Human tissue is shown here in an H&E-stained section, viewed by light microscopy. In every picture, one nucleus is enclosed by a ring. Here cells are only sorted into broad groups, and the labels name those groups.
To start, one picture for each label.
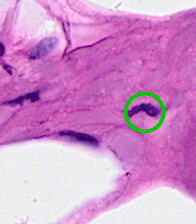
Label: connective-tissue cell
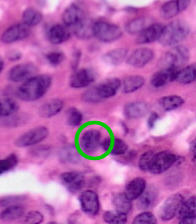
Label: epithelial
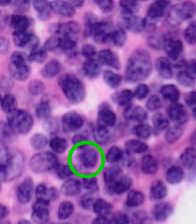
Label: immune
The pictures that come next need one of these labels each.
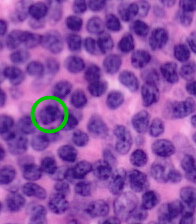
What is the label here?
immune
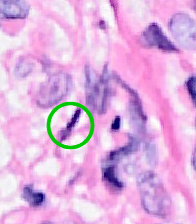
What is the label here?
connective-tissue cell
